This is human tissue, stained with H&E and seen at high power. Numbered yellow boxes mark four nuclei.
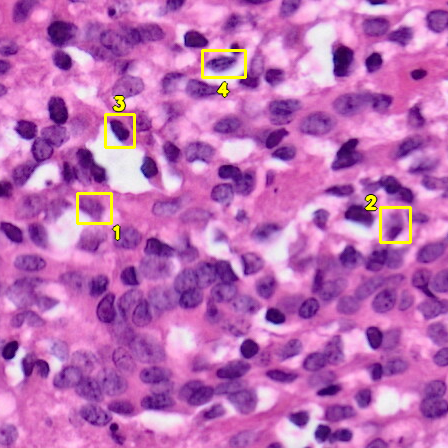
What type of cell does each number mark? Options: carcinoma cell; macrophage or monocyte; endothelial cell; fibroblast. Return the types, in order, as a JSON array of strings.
["carcinoma cell", "carcinoma cell", "carcinoma cell", "macrophage or monocyte"]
